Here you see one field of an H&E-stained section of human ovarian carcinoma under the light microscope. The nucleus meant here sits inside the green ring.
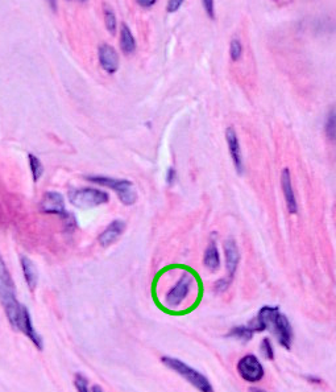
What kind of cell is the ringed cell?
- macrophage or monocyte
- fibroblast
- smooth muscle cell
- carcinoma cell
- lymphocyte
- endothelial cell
smooth muscle cell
